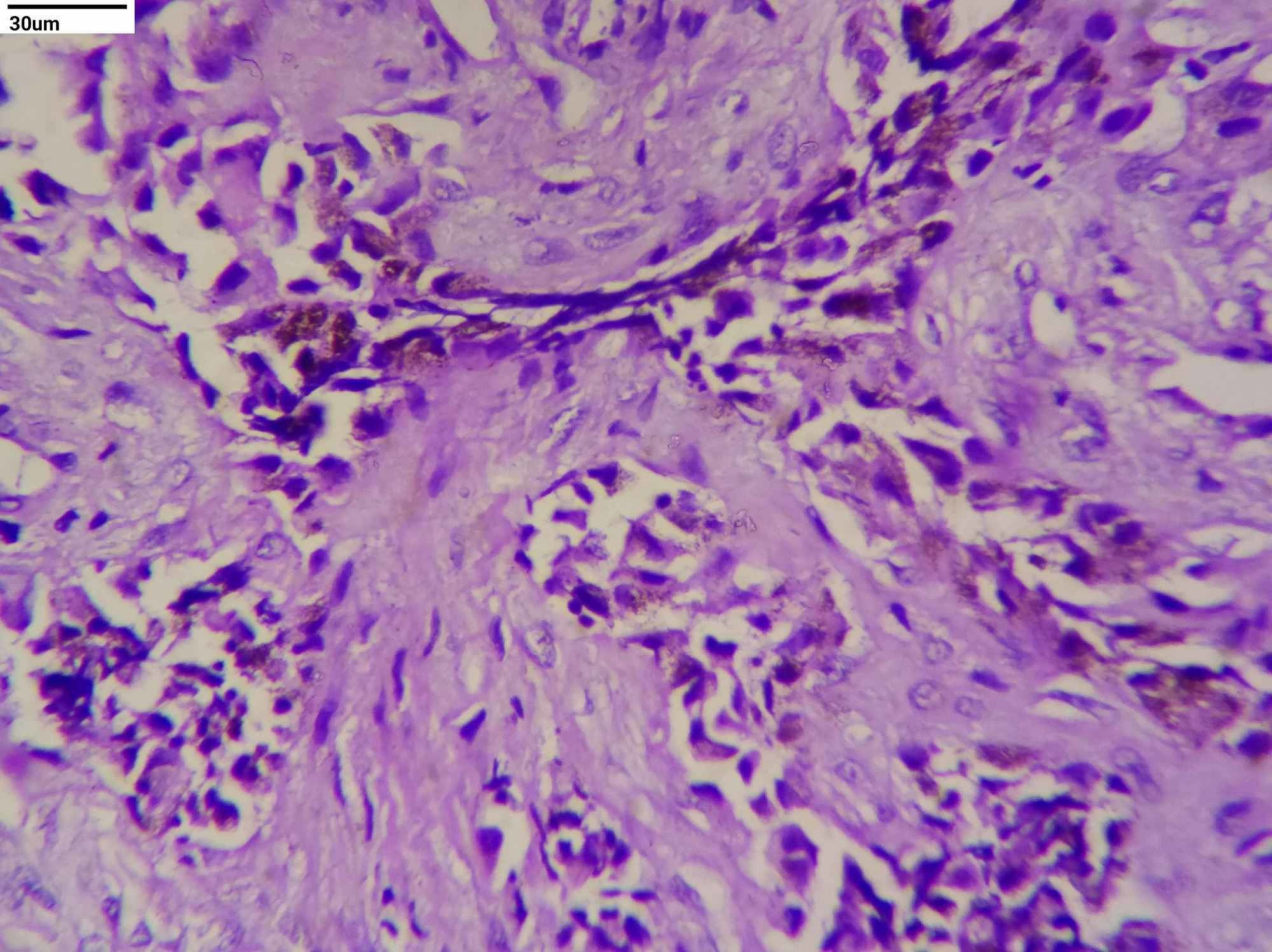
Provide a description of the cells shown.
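Tumor tissue containing two distinct cell populations. Nests and cords of small cells with scanty cytoplasm and dark, hyperchromatic, rounded to angular nuclei lie in clear cleft-like spaces, often separated from the surrounding tissue. Between these nests lie larger cells with abundant pale pink to lilac cytoplasm and paler, round to oval vesicular nuclei, set in a pink fibrillary background. Coarse golden-brown granular pigment is scattered through the tissue, most heavily in and around the cell clusters, and forms a streak across the upper middle of the field. The arrangement is irregular, with the small-cell nests distributed throughout the field.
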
